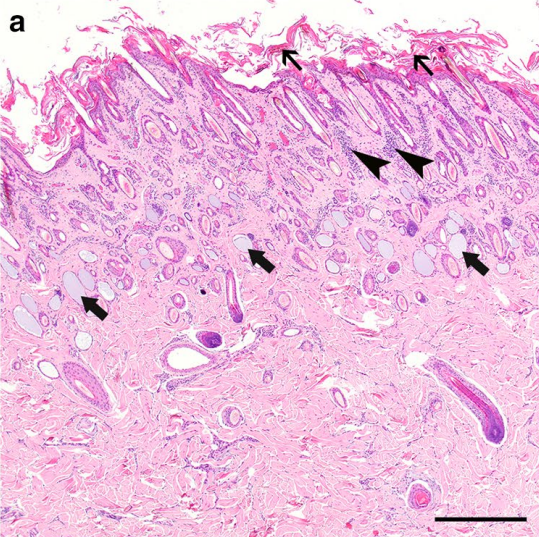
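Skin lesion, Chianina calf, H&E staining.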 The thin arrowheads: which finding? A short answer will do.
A: Interstitial inflammatory infiltrates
